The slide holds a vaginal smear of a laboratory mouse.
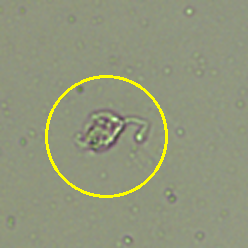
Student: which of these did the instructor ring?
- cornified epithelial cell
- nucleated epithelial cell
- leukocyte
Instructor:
The cell I ringed is a cornified epithelial cell.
